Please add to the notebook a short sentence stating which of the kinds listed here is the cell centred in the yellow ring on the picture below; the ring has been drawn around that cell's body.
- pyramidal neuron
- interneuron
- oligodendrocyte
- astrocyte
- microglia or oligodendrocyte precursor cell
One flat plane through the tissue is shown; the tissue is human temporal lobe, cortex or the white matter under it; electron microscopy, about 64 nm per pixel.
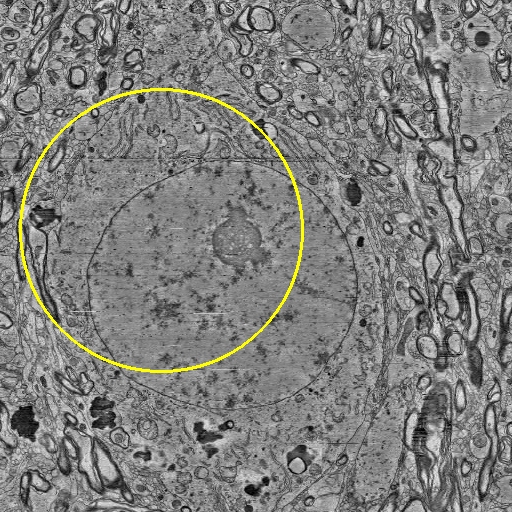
The cell centred in the yellow ring is a pyramidal neuron.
